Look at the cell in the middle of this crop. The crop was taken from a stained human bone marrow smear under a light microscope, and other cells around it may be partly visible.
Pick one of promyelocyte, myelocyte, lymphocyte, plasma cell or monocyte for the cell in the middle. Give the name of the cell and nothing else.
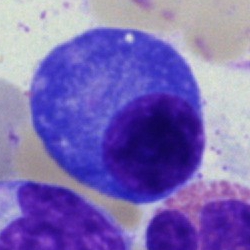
plasma cell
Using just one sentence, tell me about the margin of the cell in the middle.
Its outline is smooth, with no projections anywhere along the edge.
